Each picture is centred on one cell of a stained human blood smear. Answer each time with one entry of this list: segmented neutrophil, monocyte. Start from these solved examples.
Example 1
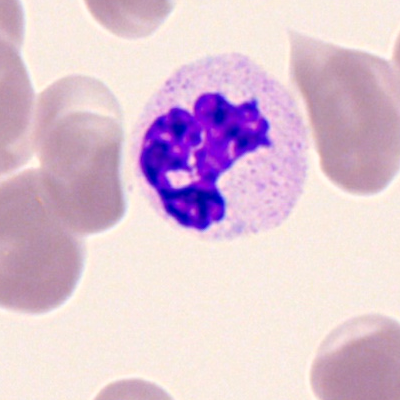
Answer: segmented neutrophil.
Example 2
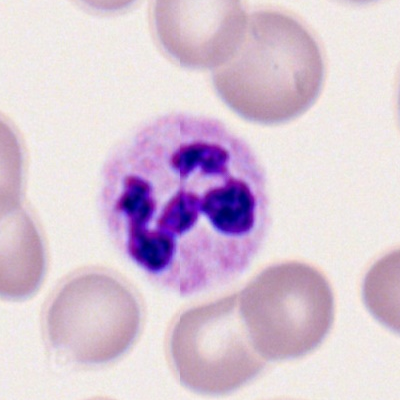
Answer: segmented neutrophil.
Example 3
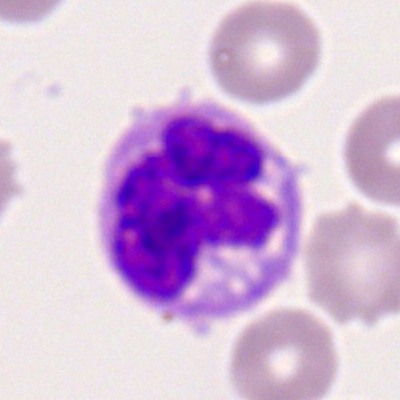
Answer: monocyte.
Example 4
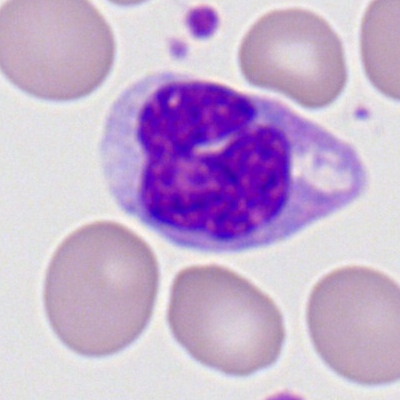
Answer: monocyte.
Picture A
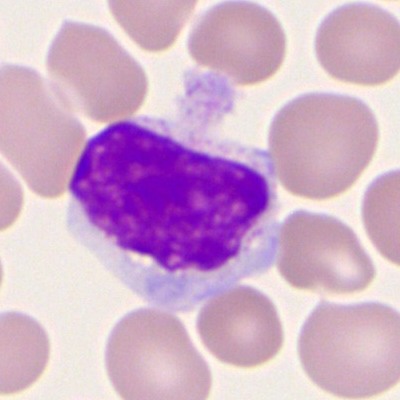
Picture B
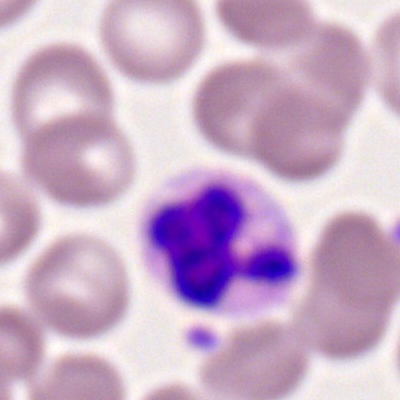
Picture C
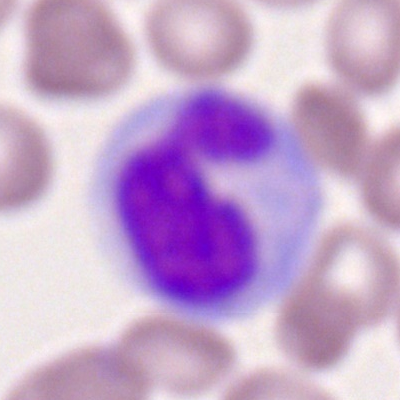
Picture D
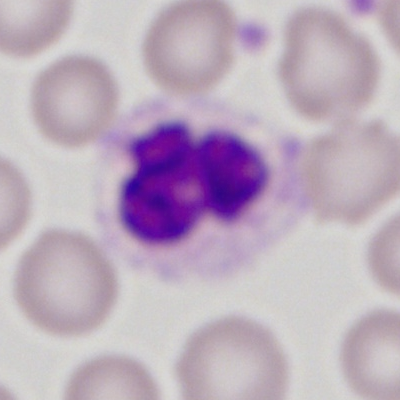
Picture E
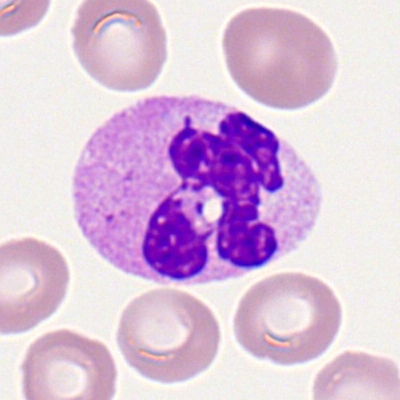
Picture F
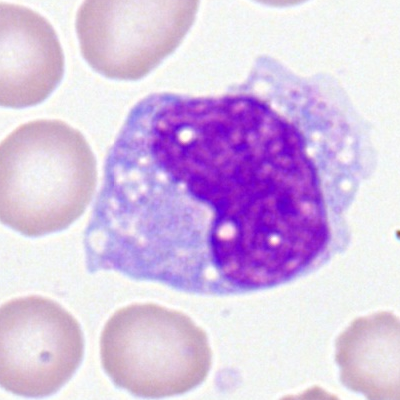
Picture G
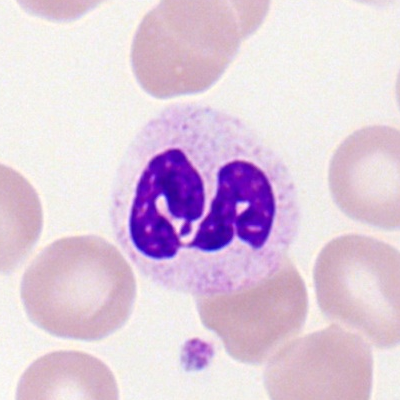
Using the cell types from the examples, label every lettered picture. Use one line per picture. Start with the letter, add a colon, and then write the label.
A: monocyte.
B: segmented neutrophil.
C: monocyte.
D: segmented neutrophil.
E: segmented neutrophil.
F: monocyte.
G: segmented neutrophil.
